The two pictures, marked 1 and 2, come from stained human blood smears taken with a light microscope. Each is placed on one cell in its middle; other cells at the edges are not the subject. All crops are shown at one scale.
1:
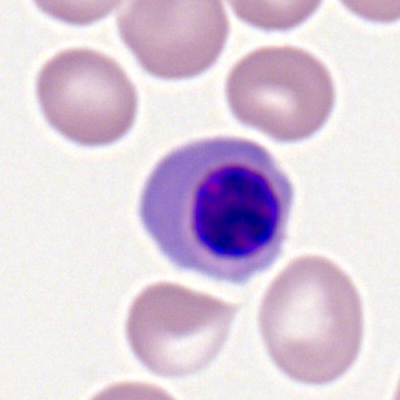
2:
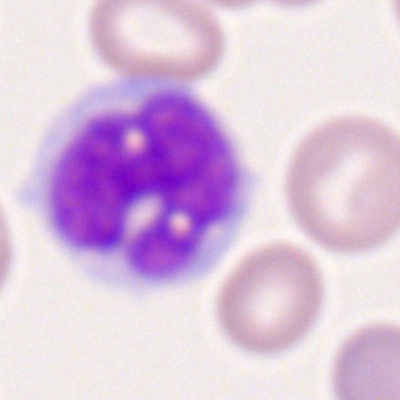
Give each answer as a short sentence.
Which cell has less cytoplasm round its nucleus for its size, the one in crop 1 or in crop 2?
It is the cell in crop 2 that is filled more by its nucleus.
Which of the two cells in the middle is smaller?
The cell in crop 1 is smaller; the one in crop 2 has about 2 times its area.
